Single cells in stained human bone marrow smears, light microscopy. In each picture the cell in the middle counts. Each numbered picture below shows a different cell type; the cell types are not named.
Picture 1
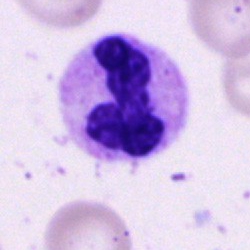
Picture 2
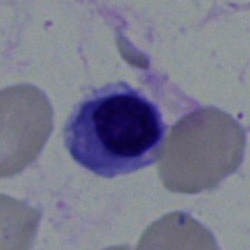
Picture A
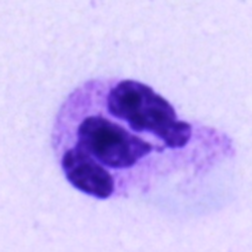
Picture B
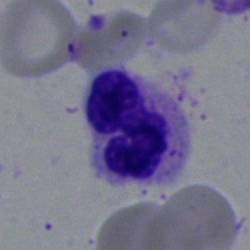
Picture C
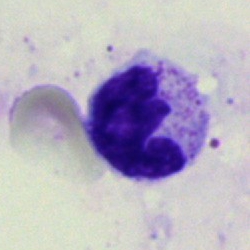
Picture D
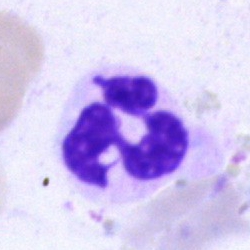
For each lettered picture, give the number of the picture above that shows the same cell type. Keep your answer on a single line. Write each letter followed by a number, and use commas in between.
A 1, B 1, C 1, D 1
